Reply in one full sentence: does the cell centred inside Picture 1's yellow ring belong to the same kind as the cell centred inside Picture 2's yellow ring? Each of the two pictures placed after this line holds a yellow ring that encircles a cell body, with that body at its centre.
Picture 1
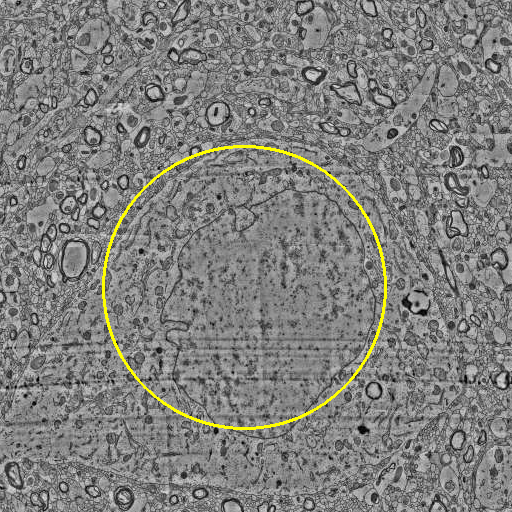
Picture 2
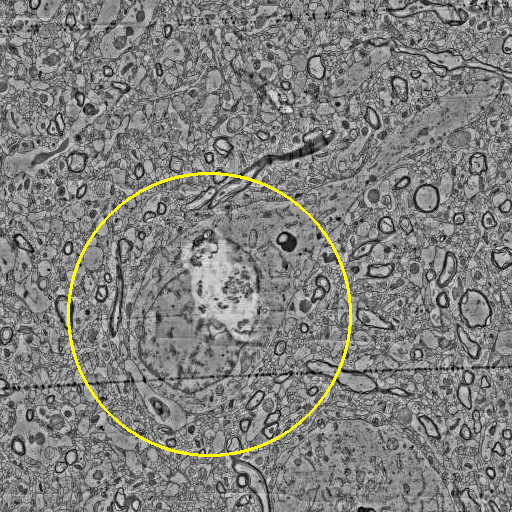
Yes, the ring-centred cells in Picture 1 and Picture 2 are of one and the same kind.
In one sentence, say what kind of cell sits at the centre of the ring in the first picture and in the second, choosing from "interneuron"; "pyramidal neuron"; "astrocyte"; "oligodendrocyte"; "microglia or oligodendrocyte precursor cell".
In each of the two pictures, the ringed cell is a pyramidal neuron.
